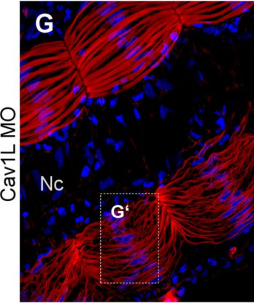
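In the upper segment fibers still run roughly parallel, but in the lower segment the red fibers are wavy, bent and crossing one another instead of lying straight. Blue nuclei lie among the disordered fibers, and the segment boundaries are less regular.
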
